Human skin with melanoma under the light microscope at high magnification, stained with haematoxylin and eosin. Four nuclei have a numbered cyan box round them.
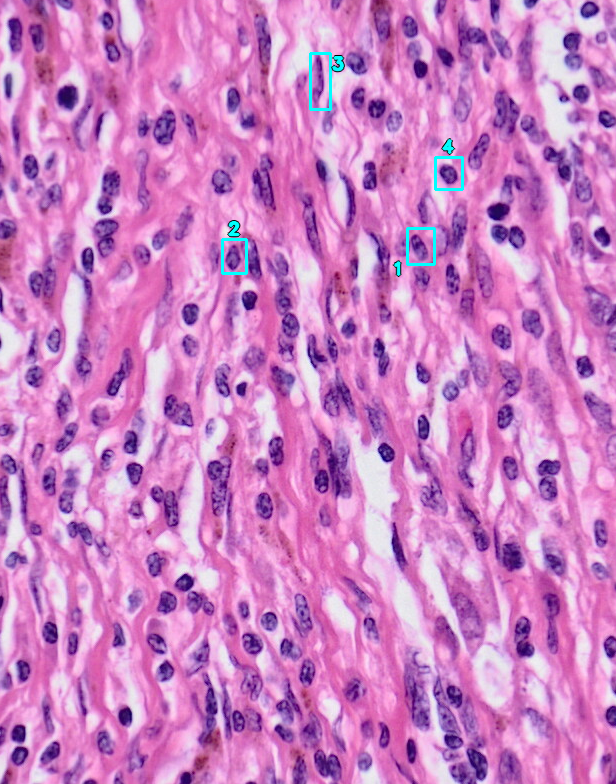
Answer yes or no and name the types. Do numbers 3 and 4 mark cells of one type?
No; whereas cell 3 is a fibroblast or myofibroblast, cell 4 is a lymphocyte.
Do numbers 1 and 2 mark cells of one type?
Yes, the two numbered cells 1 and 2 are both lymphocytes.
